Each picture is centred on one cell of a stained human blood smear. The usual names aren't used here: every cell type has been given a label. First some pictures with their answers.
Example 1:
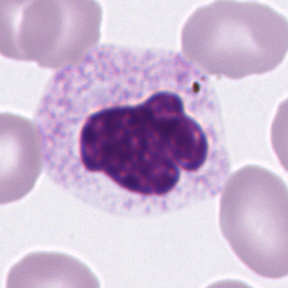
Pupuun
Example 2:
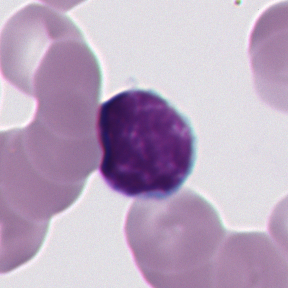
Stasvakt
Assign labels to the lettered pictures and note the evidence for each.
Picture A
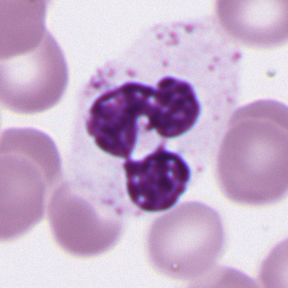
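Answer: Pupuun. The cytoplasm is plentiful and very pale pinkish-lilac.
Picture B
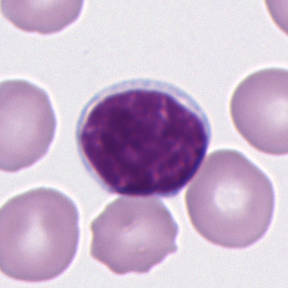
Answer: Stasvakt. The cytoplasm forms only a thin rim around the nucleus.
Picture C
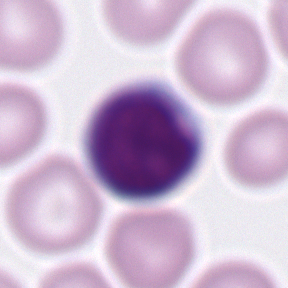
Answer: Stasvakt. The nucleus fills almost the whole cell.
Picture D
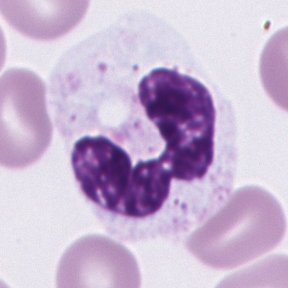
Answer: Pupuun. The nucleus is bent into a horseshoe shape whose opening faces the upper left.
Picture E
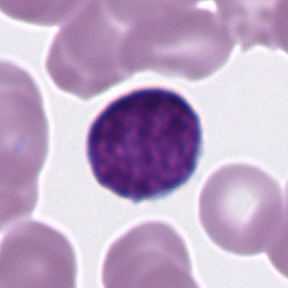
Answer: Stasvakt. The cytoplasm is only a very thin rim, barely visible at the edge of the nucleus.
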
